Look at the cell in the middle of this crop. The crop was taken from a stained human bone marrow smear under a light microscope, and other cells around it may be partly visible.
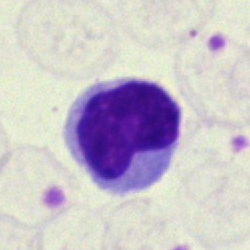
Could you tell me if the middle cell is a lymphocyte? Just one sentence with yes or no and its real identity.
Yes, the cell lying in the centre of the crop is identified as a lymphocyte.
